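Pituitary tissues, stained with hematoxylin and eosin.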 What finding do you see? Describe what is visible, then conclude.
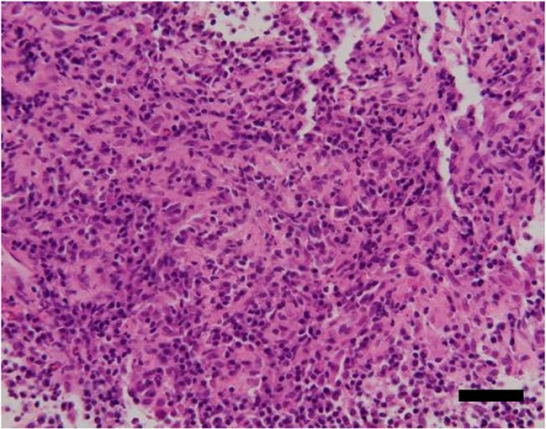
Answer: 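Lymphocytic infiltration. Many small round cells with dark, dense nuclei and scant cytoplasm are scattered throughout. They lie between paler pink cells with oval nuclei.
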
